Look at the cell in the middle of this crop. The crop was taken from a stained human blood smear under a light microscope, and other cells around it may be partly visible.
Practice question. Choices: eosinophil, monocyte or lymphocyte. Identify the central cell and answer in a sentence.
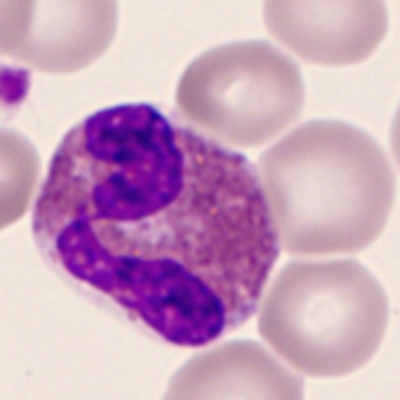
The cell centred in this crop is categorized as an eosinophil.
